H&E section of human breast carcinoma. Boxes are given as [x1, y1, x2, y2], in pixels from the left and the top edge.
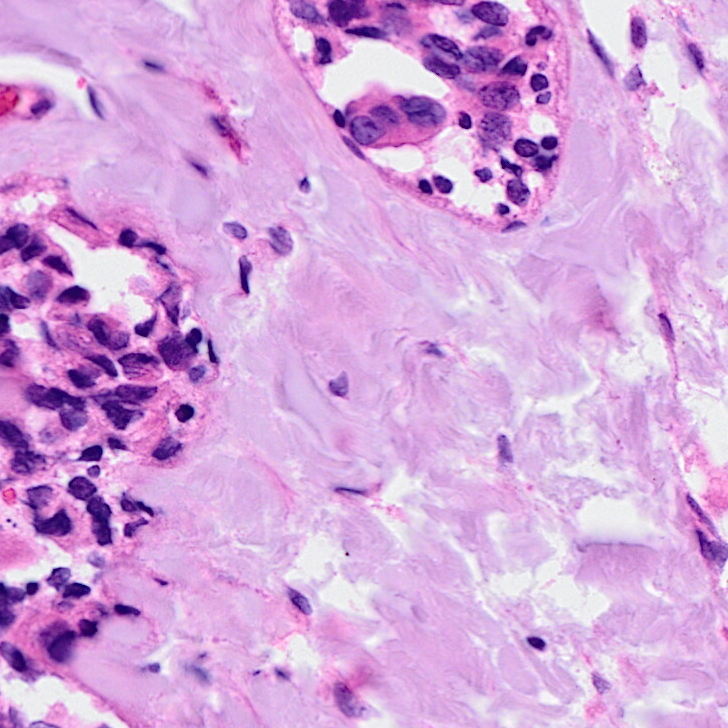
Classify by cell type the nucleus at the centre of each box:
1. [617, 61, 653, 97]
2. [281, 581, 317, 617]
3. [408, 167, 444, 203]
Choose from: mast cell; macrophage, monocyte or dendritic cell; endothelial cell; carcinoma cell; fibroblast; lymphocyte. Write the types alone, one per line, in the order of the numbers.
fibroblast
fibroblast
lymphocyte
